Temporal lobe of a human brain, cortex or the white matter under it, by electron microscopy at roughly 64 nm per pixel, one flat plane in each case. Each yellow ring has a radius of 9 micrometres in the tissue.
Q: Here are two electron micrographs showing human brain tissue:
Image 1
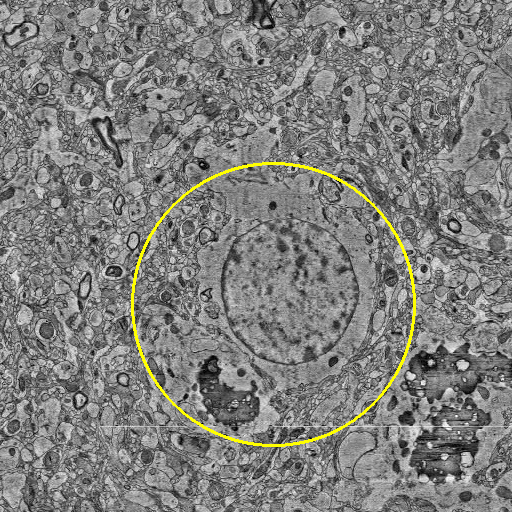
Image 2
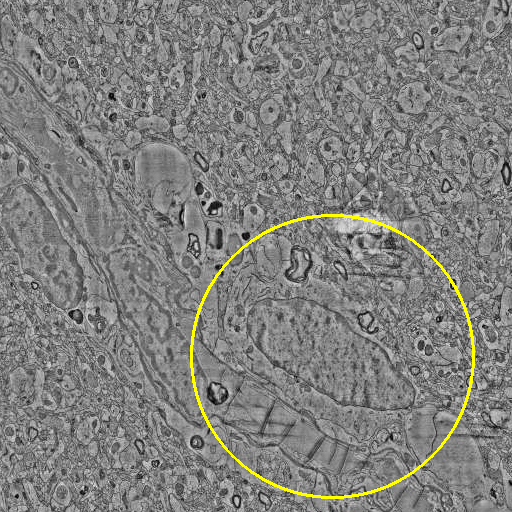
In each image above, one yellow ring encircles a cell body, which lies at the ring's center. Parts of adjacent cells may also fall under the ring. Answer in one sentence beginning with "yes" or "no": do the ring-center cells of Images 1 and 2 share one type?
No, in Images 1 and 2, the ring-center cells are of two types.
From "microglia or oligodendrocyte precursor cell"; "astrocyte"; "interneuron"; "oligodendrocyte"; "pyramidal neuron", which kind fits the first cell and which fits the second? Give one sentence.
The cell marked in the first picture is an astrocyte, and the one marked in the second is a microglial cell or oligodendrocyte precursor cell.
